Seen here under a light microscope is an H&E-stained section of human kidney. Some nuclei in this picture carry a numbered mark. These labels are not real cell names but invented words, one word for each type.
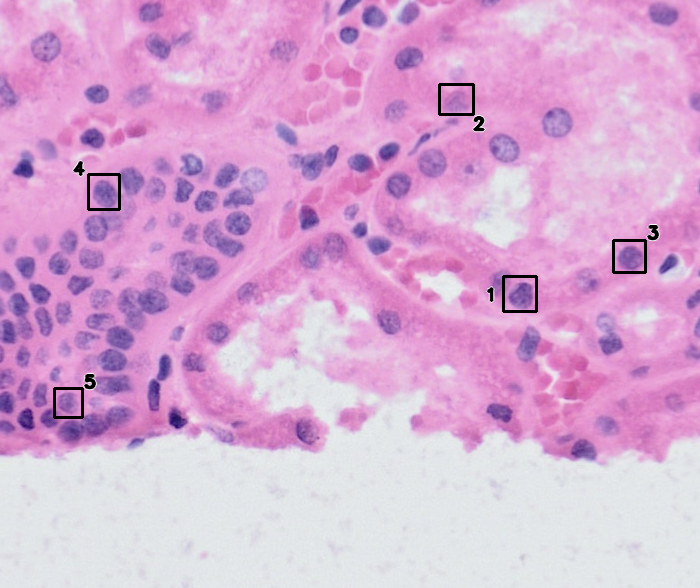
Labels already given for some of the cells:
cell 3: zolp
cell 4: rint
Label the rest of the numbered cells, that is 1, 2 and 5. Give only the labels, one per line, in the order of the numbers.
zolp
zolp
rint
